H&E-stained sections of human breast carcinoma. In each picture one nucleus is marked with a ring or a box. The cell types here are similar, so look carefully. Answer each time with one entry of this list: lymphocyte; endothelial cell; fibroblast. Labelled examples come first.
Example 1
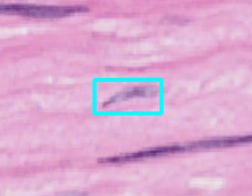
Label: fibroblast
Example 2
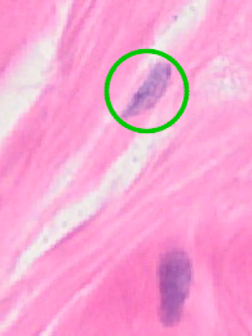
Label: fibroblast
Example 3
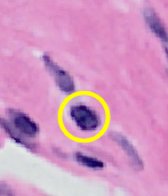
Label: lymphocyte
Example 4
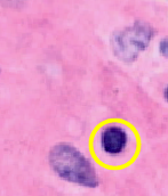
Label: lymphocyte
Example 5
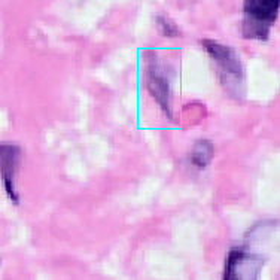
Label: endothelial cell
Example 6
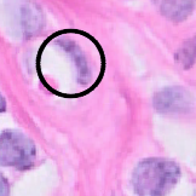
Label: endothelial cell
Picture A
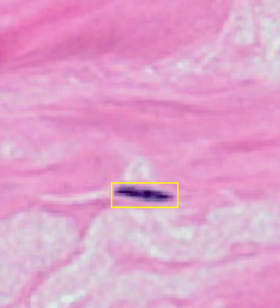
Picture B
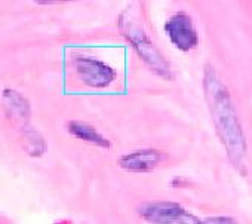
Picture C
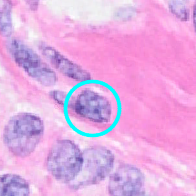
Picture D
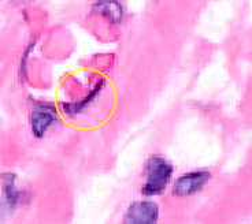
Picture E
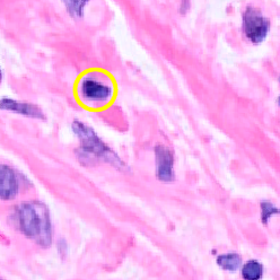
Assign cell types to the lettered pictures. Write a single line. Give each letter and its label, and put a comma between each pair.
A fibroblast, B endothelial cell, C endothelial cell, D endothelial cell, E lymphocyte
